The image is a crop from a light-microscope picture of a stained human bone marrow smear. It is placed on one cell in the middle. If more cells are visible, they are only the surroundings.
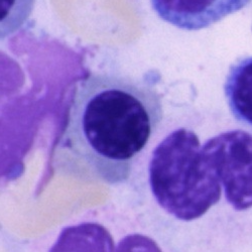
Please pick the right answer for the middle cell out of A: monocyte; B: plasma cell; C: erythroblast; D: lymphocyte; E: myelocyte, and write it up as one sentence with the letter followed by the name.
With the cell in the middle being an erythroblast, option C is the correct choice.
